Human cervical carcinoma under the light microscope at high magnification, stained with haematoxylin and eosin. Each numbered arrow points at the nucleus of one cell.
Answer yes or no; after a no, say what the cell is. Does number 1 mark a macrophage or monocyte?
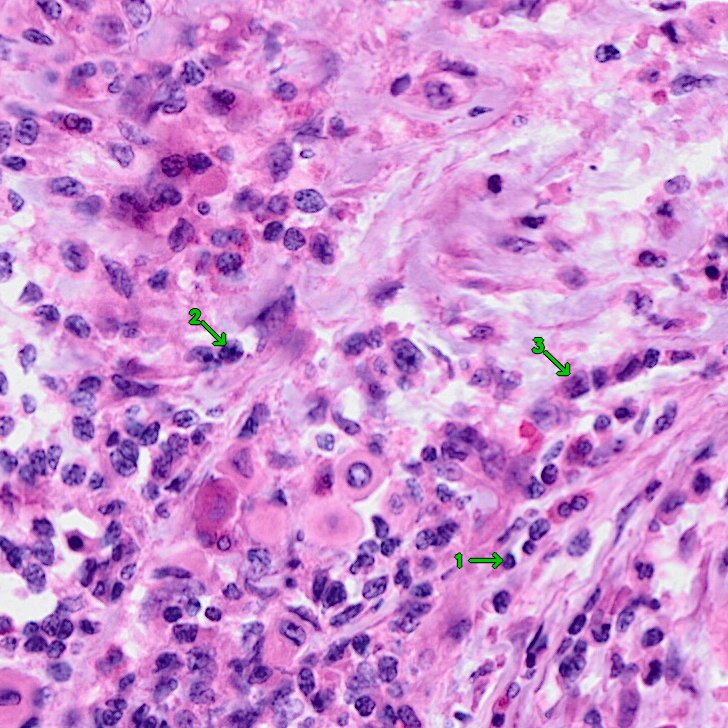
No, it is a lymphocyte.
